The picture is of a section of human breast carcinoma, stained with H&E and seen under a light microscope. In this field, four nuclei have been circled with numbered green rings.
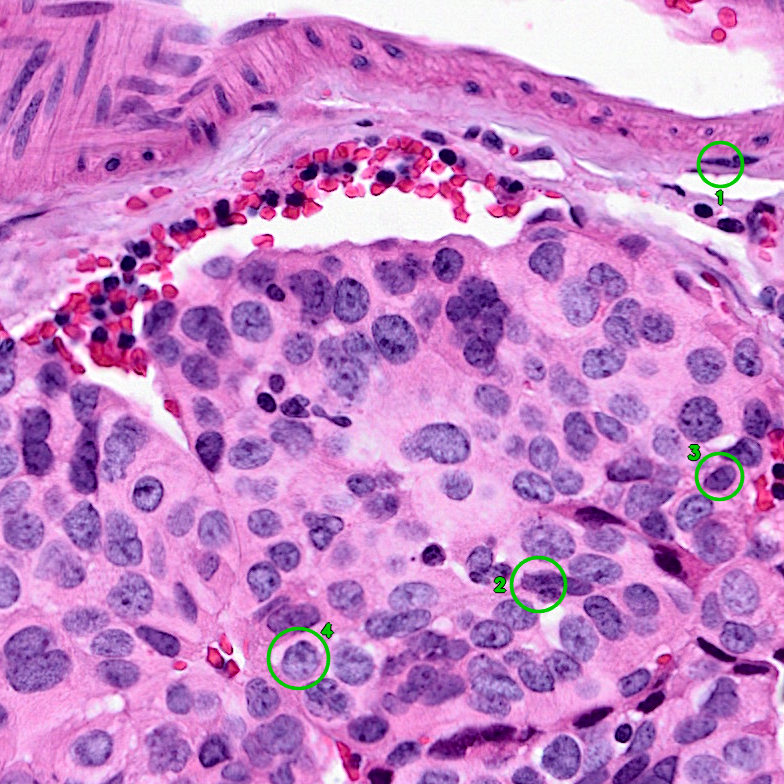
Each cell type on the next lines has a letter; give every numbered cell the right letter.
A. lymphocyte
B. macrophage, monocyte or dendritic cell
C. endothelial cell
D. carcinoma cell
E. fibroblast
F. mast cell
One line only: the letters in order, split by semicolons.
E; D; D; D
